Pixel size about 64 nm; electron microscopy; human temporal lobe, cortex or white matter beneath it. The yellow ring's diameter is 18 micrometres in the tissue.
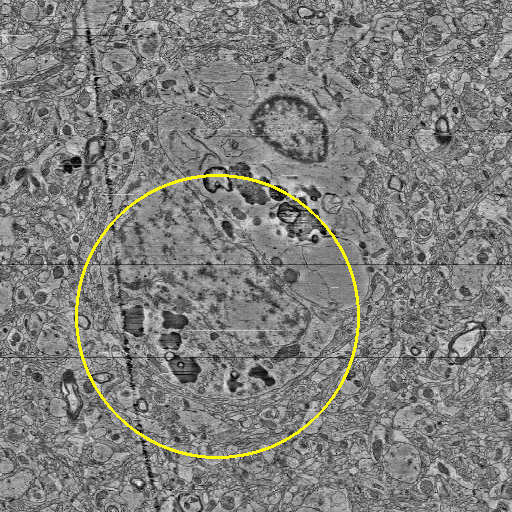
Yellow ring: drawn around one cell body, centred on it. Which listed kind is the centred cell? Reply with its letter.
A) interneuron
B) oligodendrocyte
A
